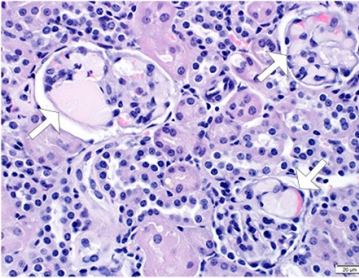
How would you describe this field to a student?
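This is kidney stained with hematoxylin and eosin, and several glomeruli catch the eye. Between the glomeruli the tubules are less orderly than normal. Their cells have paler pink cytoplasm, and small dark nuclei crowd densely in the tissue between tubules. Compared with healthy cortex, the field looks more cellular and more disorganised.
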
